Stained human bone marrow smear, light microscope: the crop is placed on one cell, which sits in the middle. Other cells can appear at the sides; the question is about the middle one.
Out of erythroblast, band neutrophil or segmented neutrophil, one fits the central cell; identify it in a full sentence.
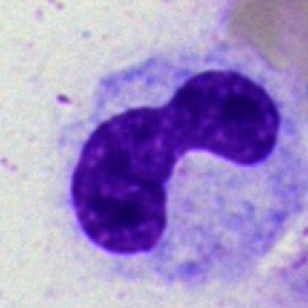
The cell in the middle of this crop is a band neutrophil.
